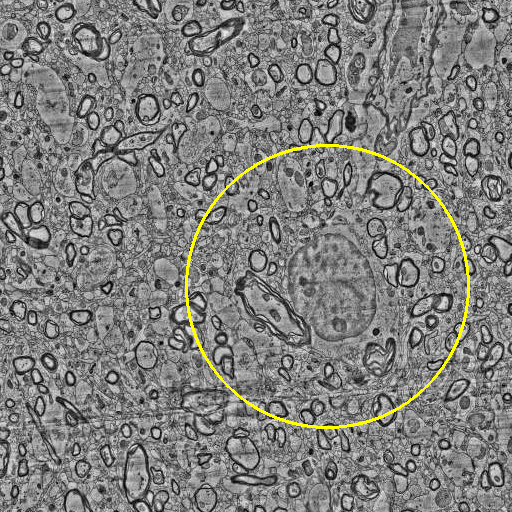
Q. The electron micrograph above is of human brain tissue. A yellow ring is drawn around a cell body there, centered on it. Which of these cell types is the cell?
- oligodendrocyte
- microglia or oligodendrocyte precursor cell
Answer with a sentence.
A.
The cell under the ring's center is an oligodendrocyte.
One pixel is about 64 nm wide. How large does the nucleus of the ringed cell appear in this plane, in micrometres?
About 7 by 6 micrometers for the nucleus, in this plane.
